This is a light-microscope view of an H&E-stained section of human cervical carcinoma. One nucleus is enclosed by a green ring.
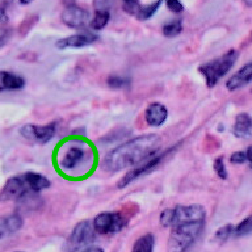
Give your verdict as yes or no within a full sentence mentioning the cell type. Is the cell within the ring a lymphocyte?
Yes, the cell within the ring is accurately described as a lymphocyte.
